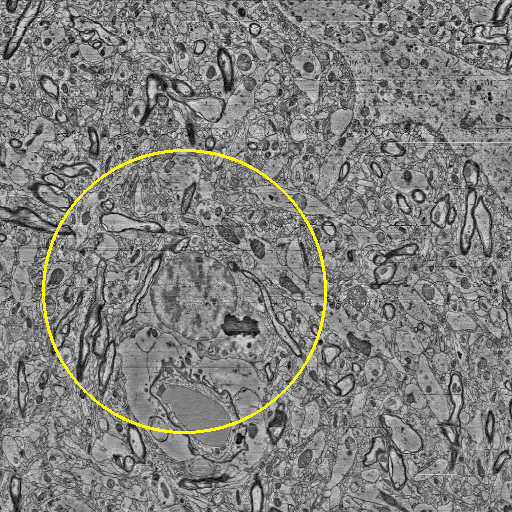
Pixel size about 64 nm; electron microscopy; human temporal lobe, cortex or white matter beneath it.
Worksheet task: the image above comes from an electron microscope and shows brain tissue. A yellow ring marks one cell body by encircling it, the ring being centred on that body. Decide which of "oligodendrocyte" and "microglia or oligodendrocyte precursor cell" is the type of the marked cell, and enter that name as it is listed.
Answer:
oligodendrocyte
